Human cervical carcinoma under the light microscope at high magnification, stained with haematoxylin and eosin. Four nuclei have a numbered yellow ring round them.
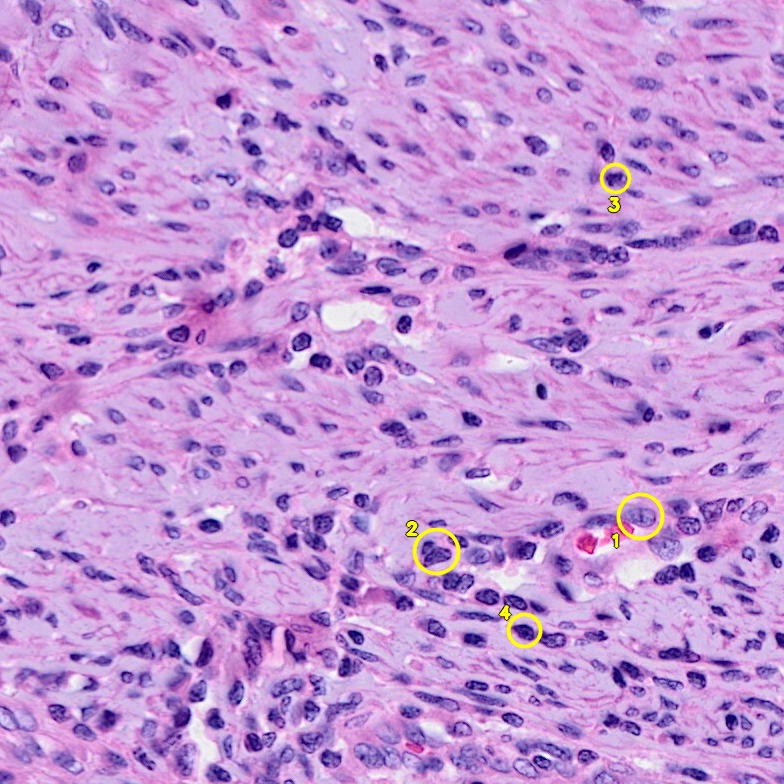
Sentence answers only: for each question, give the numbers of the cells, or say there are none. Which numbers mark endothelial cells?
The numbered cells include exactly one that is an endothelial cell, which is cell 1.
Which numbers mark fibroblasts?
Among the cells with numbered nuclei there are no fibroblasts.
